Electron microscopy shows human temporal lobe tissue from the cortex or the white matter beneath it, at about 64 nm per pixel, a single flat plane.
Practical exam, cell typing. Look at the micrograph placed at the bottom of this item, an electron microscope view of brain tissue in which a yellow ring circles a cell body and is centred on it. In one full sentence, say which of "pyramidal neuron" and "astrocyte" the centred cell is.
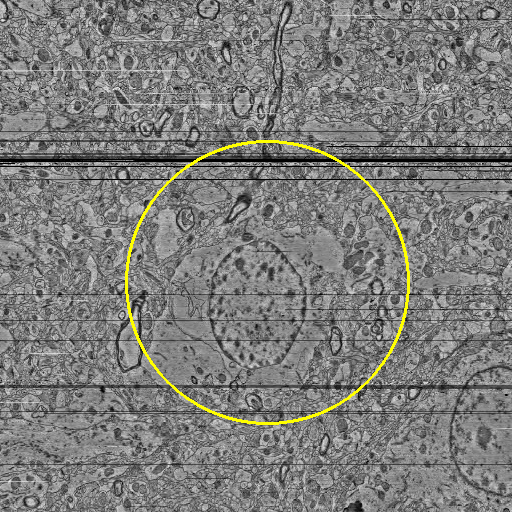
Given the options, an astrocyte fits the cell whose body the yellow ring is centred on.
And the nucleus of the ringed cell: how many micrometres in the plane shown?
In this plane, approximately 8 by 6 micrometers.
